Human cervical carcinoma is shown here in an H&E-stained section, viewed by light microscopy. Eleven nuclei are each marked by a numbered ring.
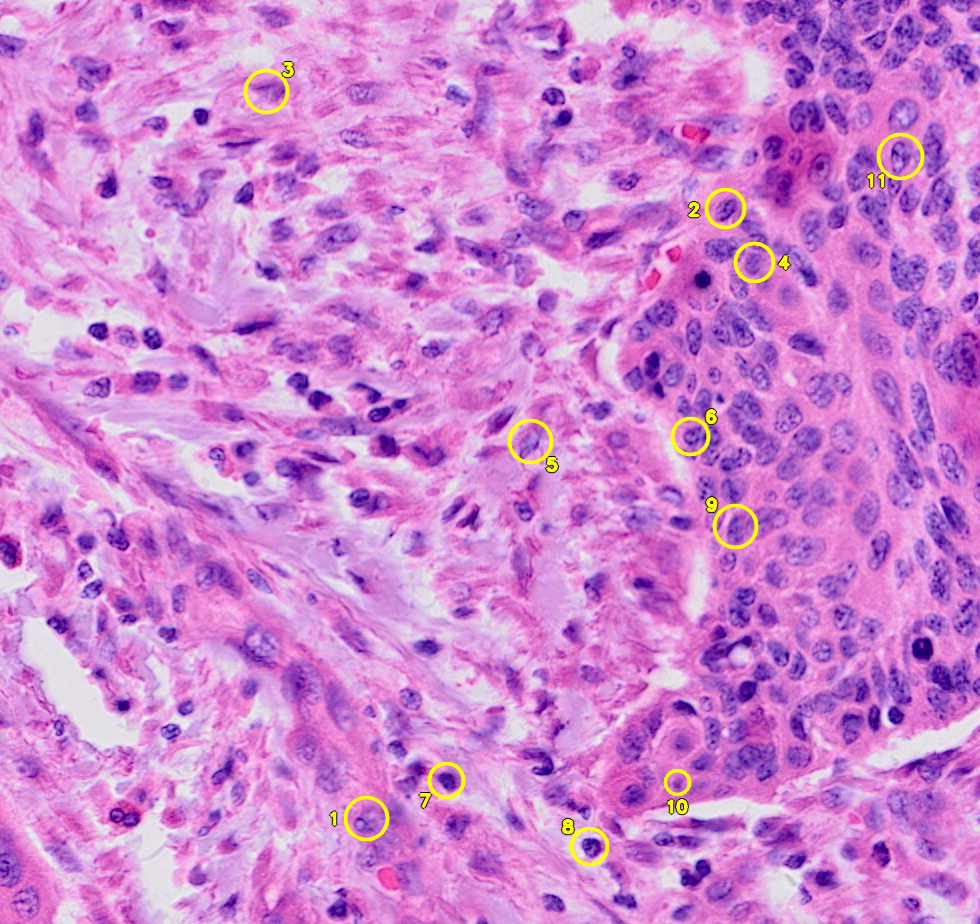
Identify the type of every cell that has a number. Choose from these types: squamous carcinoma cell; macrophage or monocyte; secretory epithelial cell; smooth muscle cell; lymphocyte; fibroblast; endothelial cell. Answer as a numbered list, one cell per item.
1. endothelial cell
2. squamous carcinoma cell
3. fibroblast
4. squamous carcinoma cell
5. fibroblast
6. squamous carcinoma cell
7. lymphocyte
8. lymphocyte
9. squamous carcinoma cell
10. squamous carcinoma cell
11. squamous carcinoma cell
